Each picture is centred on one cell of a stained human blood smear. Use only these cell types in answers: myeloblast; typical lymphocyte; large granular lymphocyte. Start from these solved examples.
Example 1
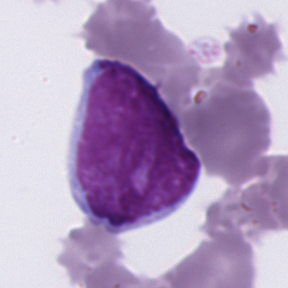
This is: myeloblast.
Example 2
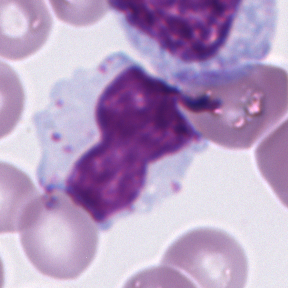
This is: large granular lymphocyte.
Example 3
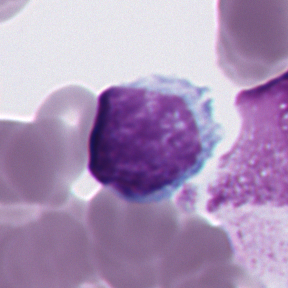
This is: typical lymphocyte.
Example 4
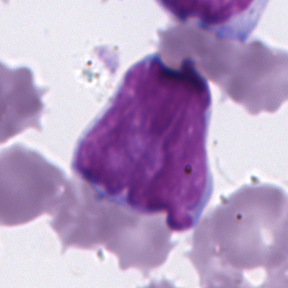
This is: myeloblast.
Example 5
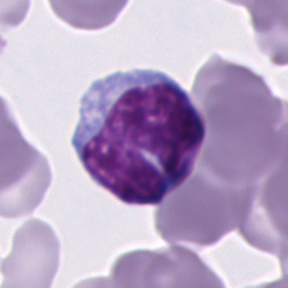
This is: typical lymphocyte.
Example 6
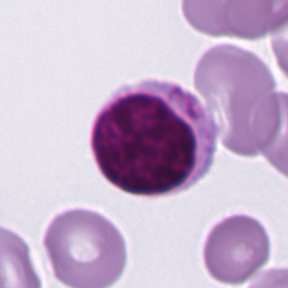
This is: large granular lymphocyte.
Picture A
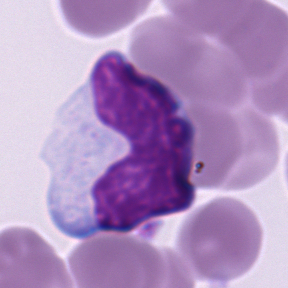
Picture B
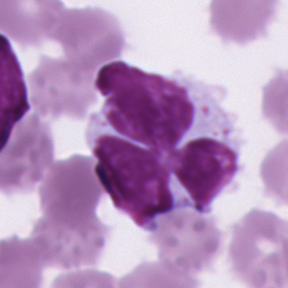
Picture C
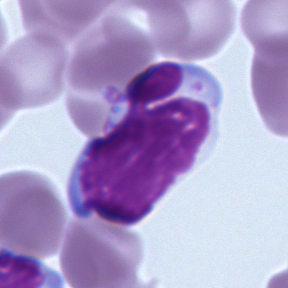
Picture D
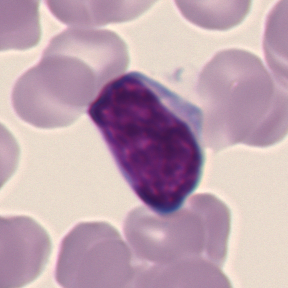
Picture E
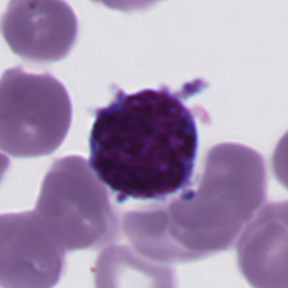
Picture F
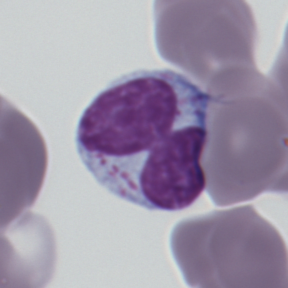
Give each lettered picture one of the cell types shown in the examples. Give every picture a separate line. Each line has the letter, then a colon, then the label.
A: large granular lymphocyte.
B: large granular lymphocyte.
C: large granular lymphocyte.
D: typical lymphocyte.
E: myeloblast.
F: large granular lymphocyte.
